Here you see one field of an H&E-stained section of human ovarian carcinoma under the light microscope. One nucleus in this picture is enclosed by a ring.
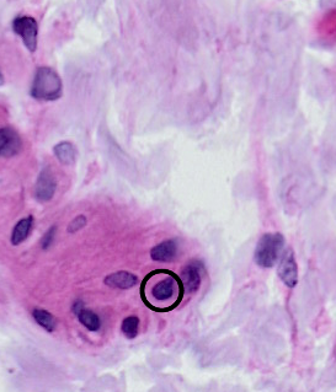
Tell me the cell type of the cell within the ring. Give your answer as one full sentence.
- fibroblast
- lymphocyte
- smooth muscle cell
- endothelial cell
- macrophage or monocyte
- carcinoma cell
Students should answer that the cell within the ring is a smooth muscle cell.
